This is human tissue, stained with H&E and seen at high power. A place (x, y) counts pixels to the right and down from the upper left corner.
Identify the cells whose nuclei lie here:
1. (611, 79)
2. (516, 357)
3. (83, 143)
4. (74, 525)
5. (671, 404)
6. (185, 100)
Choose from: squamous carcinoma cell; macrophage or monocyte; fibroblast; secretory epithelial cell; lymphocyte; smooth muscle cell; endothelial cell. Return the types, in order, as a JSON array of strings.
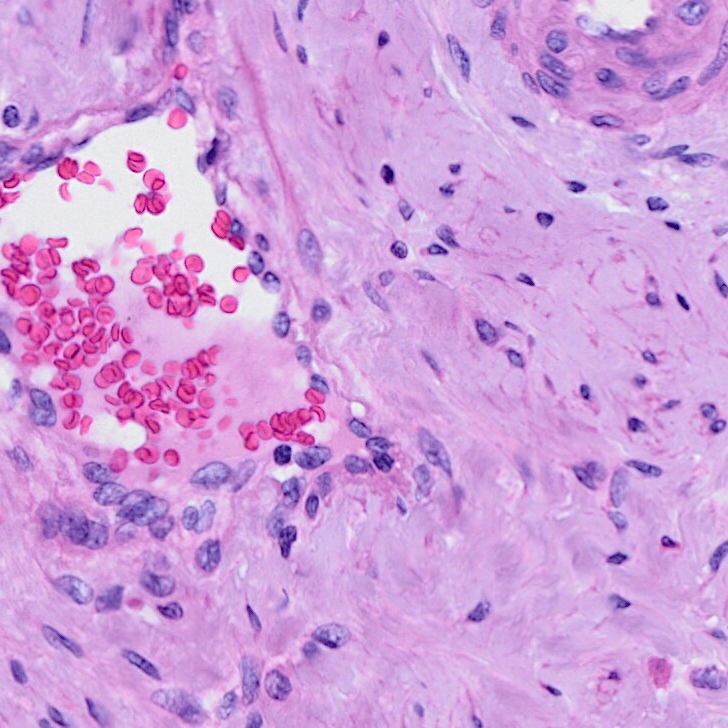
["smooth muscle cell", "smooth muscle cell", "endothelial cell", "endothelial cell", "smooth muscle cell", "endothelial cell"]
